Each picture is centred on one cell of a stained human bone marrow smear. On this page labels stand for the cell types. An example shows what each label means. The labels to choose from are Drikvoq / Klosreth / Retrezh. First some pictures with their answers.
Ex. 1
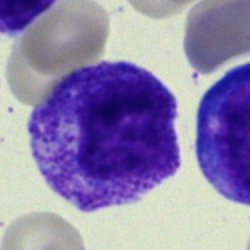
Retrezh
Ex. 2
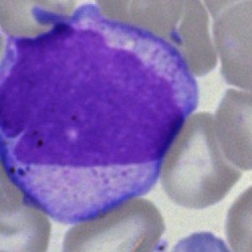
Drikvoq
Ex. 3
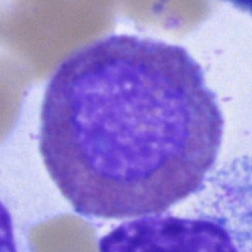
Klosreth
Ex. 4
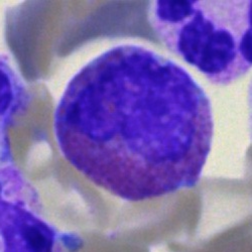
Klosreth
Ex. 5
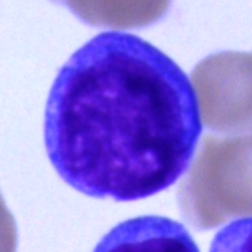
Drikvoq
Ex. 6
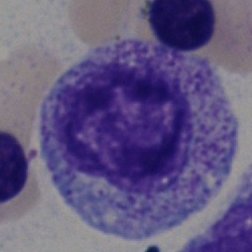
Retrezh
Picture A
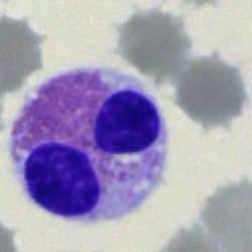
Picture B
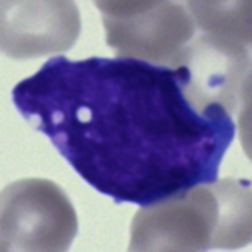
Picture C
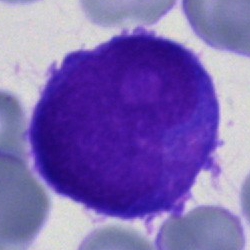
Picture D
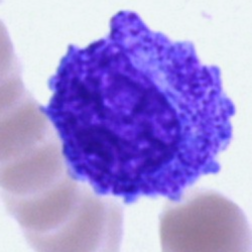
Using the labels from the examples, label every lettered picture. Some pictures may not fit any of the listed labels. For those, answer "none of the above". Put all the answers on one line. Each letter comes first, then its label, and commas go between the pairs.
A Klosreth, B Drikvoq, C Drikvoq, D none of the above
